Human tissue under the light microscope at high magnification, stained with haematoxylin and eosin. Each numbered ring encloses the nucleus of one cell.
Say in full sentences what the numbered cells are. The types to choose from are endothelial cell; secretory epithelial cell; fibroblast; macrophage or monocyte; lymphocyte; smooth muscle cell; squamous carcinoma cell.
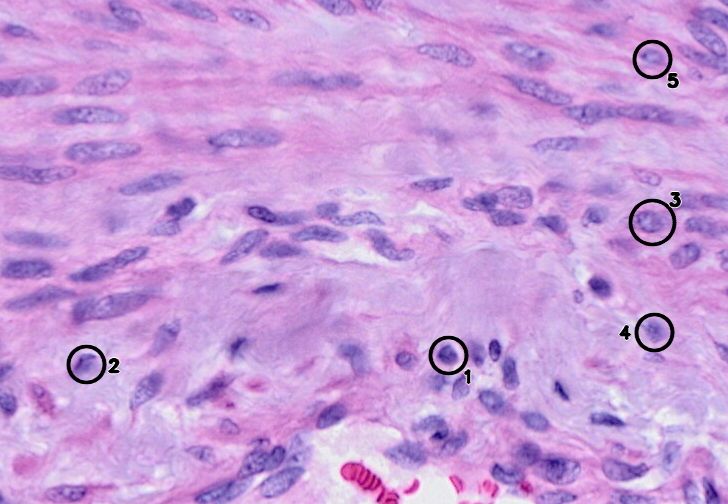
Cell 1 is a lymphocyte. Cells 2 and 4 are fibroblasts. Cells 3 and 5 are smooth muscle cells.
